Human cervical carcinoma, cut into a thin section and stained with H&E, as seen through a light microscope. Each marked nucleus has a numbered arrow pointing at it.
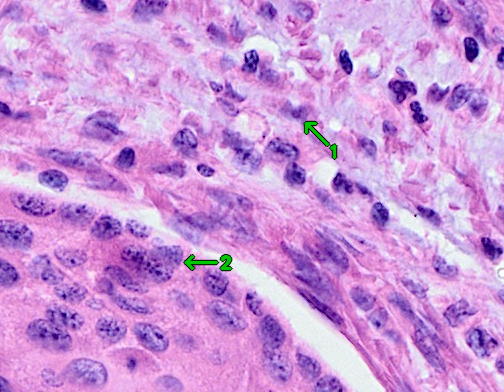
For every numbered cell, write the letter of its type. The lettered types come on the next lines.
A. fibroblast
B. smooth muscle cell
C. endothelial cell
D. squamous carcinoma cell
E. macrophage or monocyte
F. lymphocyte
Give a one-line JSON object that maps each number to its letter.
{"1": "A", "2": "D"}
